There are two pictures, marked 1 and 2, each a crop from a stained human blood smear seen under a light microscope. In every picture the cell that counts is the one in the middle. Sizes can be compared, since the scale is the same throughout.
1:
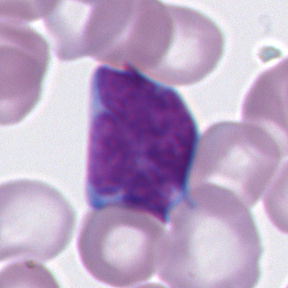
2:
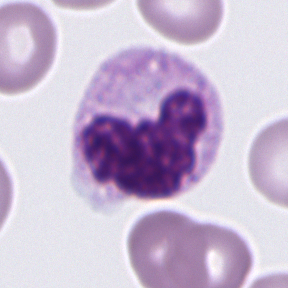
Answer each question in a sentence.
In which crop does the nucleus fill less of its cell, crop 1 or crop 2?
Of the two, the nucleus in crop 2 leaves more room for cytoplasm.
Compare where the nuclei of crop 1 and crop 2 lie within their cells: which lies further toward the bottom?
It is the nucleus in crop 2 that lies further toward the bottom of its cell.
